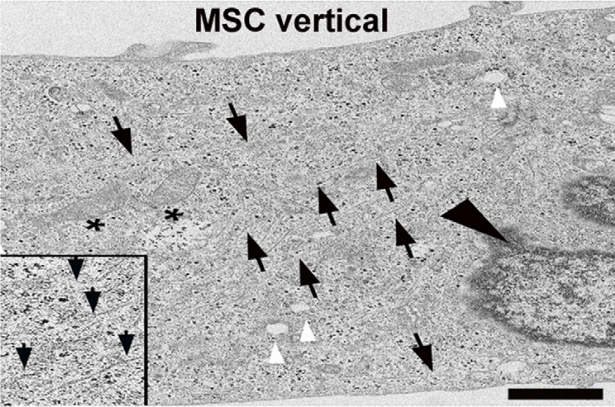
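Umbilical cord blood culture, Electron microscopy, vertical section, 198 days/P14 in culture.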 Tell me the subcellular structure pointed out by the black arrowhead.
nucleus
